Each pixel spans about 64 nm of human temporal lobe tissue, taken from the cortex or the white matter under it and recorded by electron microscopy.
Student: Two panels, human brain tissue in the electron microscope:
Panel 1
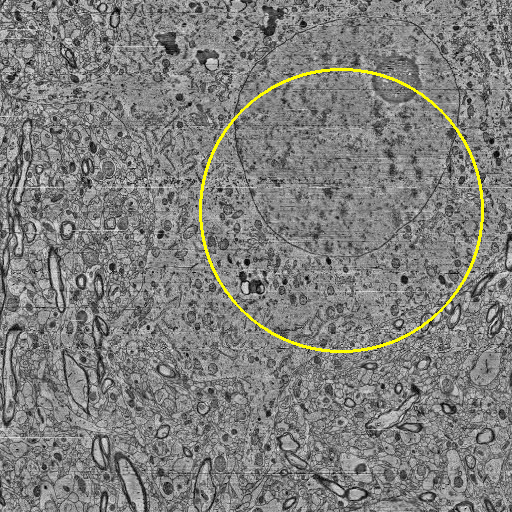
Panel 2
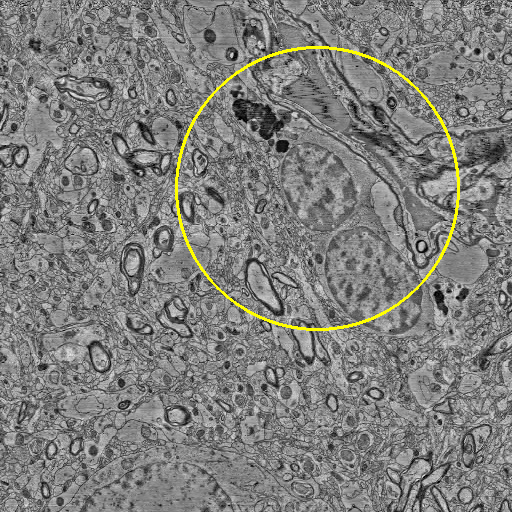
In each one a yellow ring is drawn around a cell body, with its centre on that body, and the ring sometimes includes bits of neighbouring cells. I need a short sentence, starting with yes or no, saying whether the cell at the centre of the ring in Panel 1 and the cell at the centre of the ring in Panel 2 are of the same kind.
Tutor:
No, they are two kinds of cell.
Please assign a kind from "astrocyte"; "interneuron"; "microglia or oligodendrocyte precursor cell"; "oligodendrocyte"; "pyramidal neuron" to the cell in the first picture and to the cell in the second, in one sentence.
In the first picture we have a pyramidal neuron, and in the second, an oligodendrocyte.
